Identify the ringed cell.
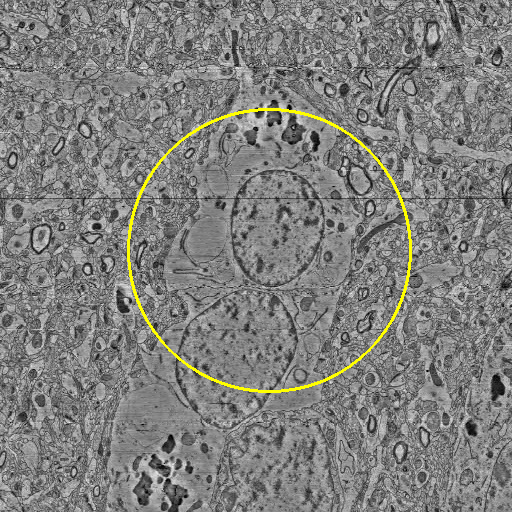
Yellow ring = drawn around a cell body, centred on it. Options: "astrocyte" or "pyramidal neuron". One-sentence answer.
What the ring is centred on is an astrocyte.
